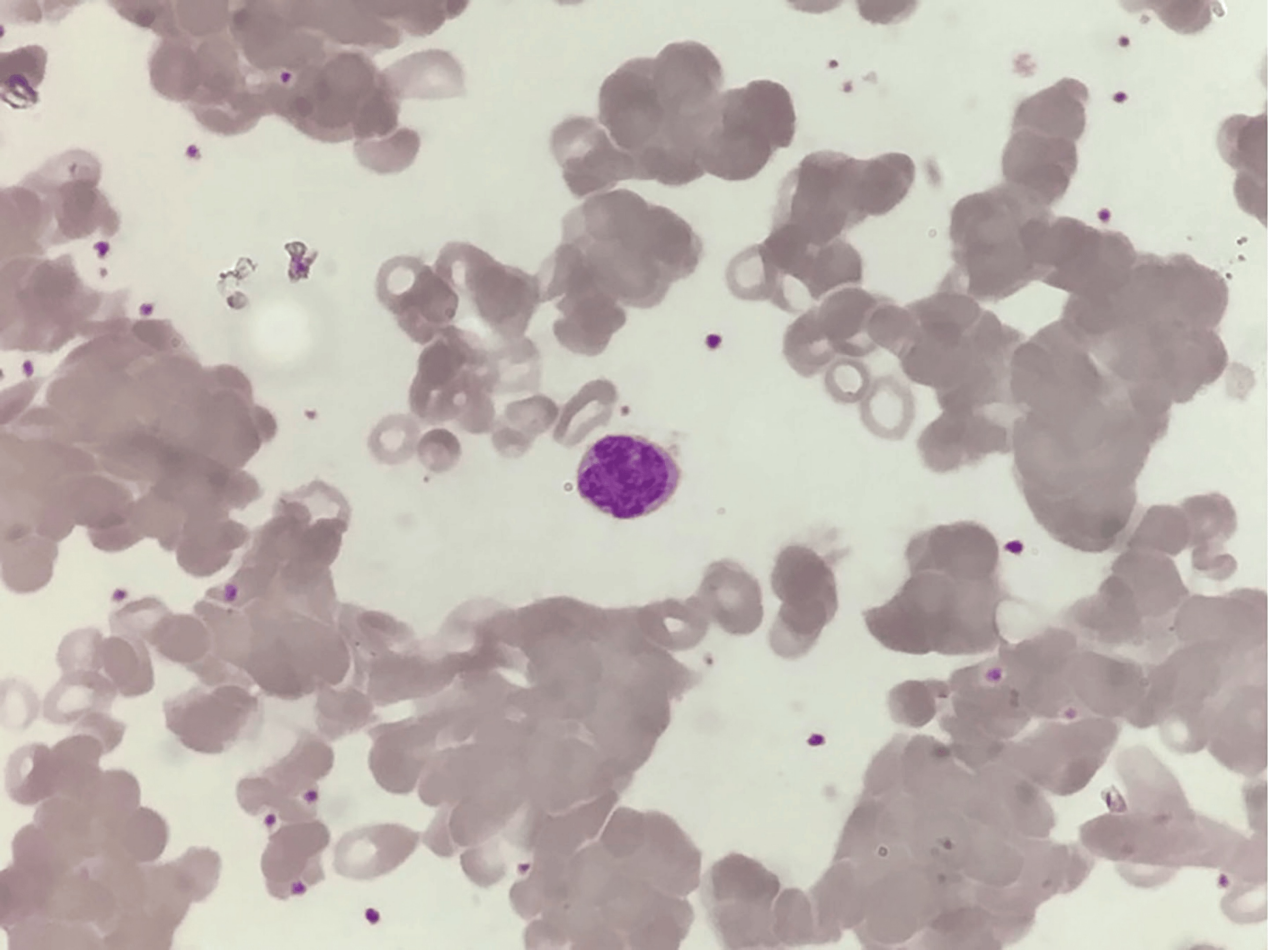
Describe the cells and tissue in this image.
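This is a peripheral blood smear in which most of the red cells are stuck together in large, irregular clumps rather than lying singly. The clumps vary a lot in size, from a few overlapping cells to broad sheets in which the separate cell outlines are hard to follow. A few red cells lie free between the masses, and these show the usual pale centre. In the middle of the field sits a single white cell with a round, dense purple nucleus and only a thin rim of cytoplasm. Small purple dots scattered across the background are platelets.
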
